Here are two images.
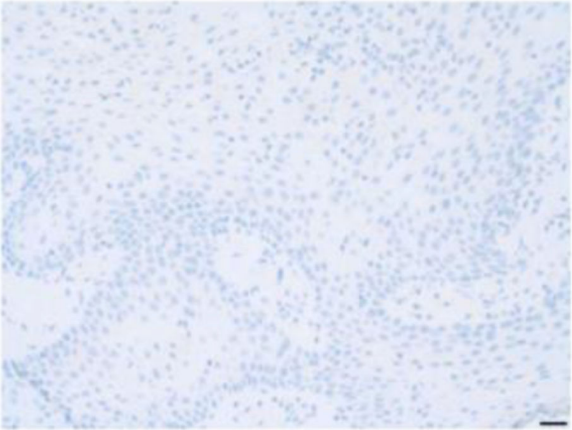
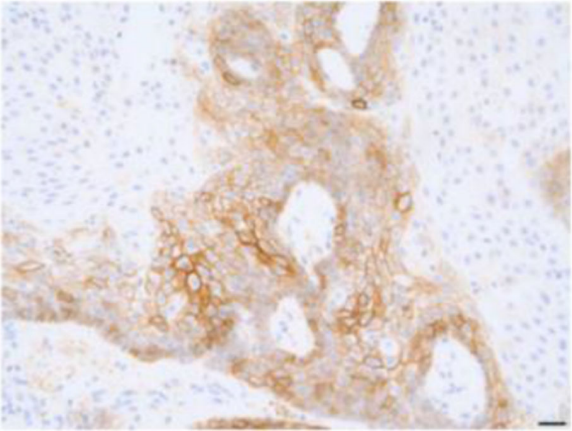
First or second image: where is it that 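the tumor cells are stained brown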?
the second image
